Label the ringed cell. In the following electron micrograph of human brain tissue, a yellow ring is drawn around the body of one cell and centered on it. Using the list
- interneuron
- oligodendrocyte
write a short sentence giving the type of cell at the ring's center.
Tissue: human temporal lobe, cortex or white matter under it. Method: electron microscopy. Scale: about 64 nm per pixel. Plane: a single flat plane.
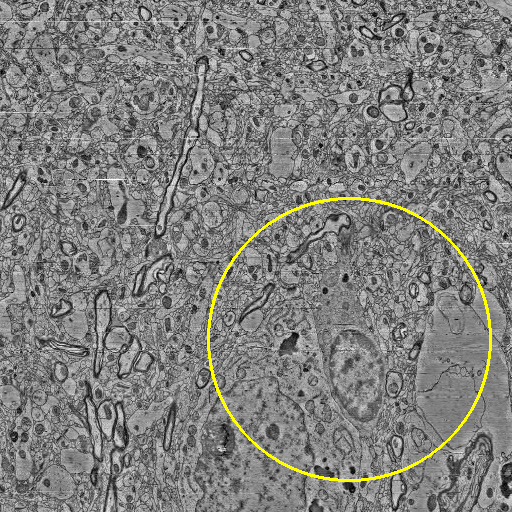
The cell body at the ring's center is that of an oligodendrocyte.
